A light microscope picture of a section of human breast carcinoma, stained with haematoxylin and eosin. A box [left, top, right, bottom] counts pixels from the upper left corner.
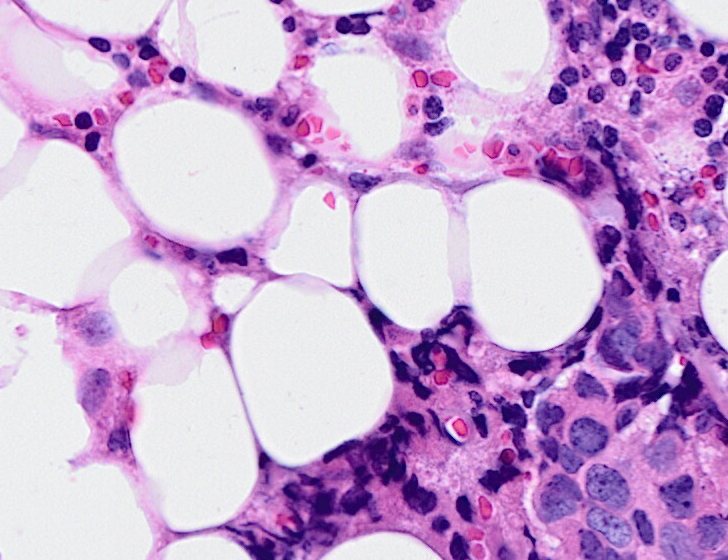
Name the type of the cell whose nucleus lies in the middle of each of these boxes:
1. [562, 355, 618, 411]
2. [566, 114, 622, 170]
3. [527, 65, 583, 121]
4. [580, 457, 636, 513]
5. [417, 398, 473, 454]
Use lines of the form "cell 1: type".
cell 1: carcinoma cell
cell 2: lymphocyte
cell 3: lymphocyte
cell 4: carcinoma cell
cell 5: endothelial cell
